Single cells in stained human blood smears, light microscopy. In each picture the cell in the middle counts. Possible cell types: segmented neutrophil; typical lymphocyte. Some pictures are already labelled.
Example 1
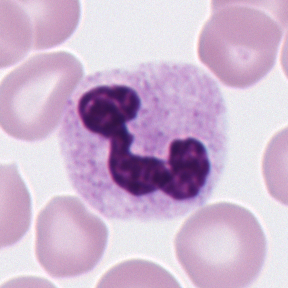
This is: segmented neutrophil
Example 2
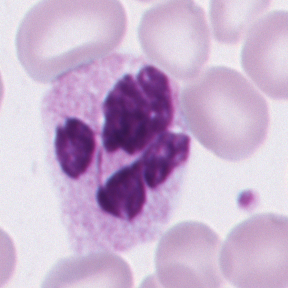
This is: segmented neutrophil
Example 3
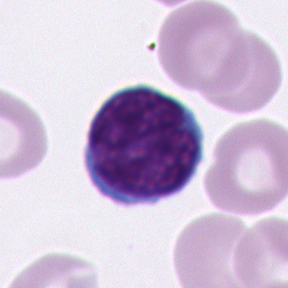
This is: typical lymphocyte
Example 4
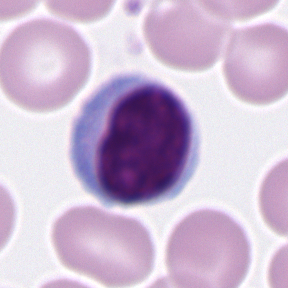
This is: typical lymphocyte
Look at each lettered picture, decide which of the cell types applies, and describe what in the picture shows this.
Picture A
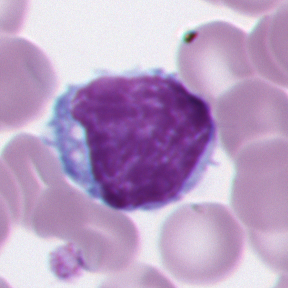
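typical lymphocyte. Reason: The nucleus fills most of the cell and sits toward the right side.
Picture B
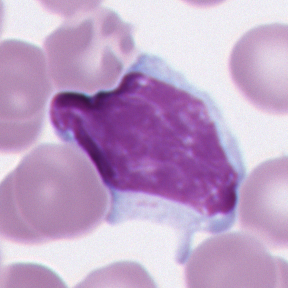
typical lymphocyte. Reason: The cytoplasm is scant and forms its widest band below the nucleus.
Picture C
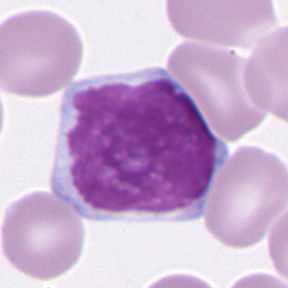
typical lymphocyte. Reason: The cytoplasm forms only a narrow pale blue rim around the nucleus.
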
